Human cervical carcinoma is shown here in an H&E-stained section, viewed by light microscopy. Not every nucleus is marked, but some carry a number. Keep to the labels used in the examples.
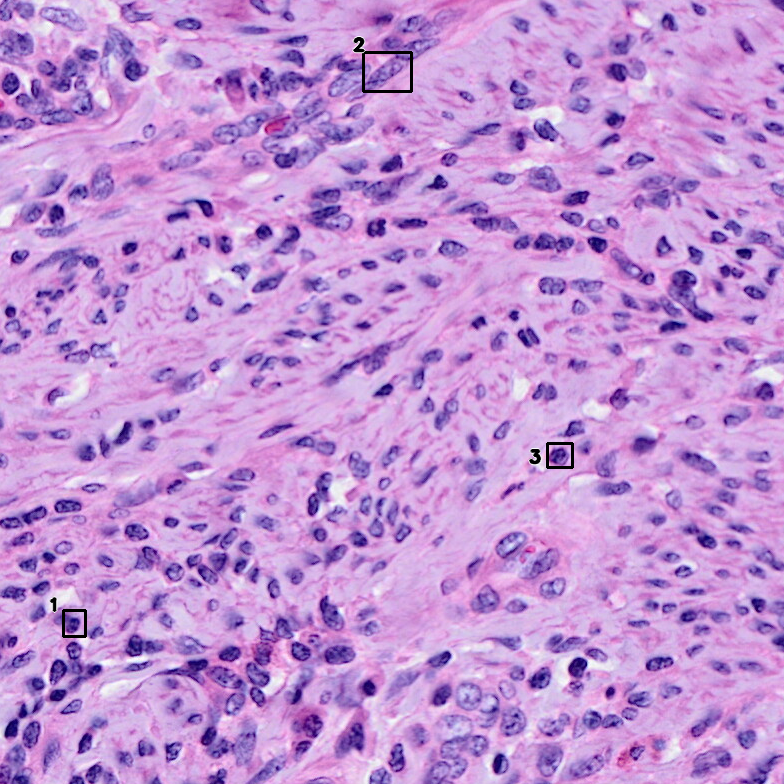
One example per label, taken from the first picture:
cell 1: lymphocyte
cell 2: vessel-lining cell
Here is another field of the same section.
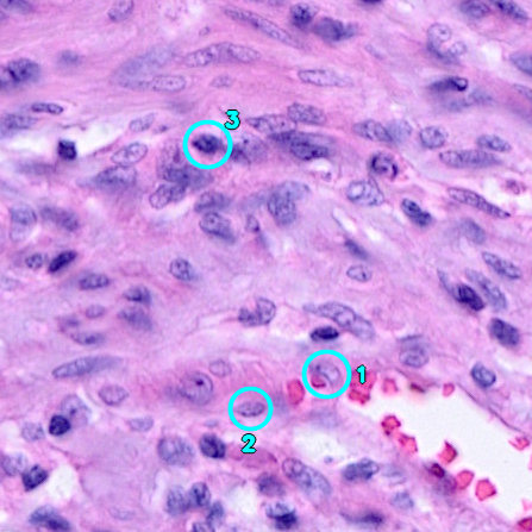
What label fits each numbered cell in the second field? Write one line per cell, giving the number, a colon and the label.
1: vessel-lining cell
2: vessel-lining cell
3: lymphocyte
